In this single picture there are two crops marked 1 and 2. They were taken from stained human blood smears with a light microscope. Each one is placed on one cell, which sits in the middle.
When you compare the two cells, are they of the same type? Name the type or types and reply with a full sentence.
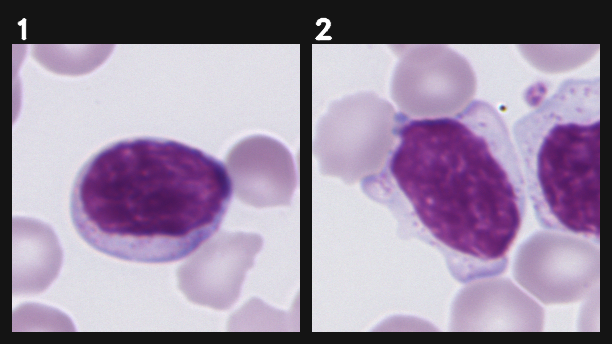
Yes, in the case of both crops, the central cells are large granular lymphocytes.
